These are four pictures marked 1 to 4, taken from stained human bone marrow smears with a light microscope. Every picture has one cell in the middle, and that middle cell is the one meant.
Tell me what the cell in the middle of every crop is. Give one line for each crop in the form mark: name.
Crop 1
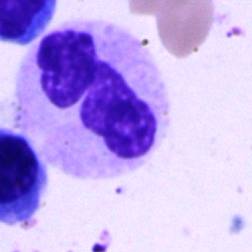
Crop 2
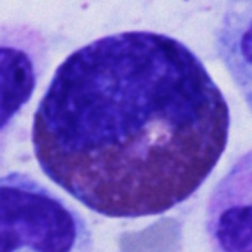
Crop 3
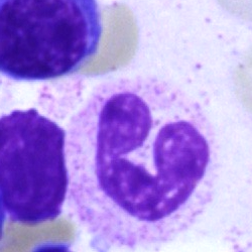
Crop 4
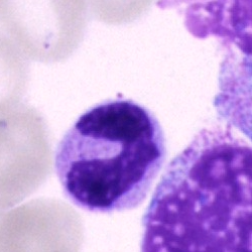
1: segmented neutrophil
2: eosinophil
3: segmented neutrophil
4: band neutrophil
